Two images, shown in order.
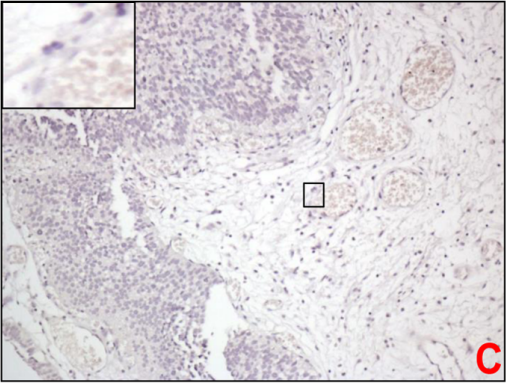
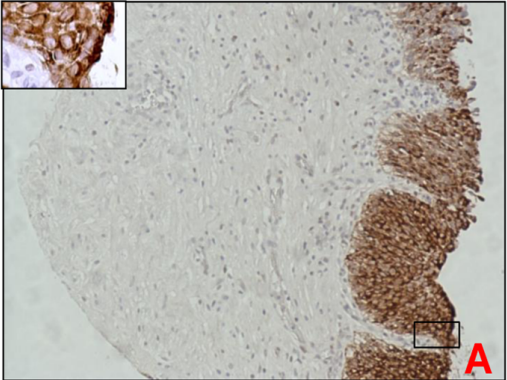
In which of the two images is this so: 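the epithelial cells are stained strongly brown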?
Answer: the second image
